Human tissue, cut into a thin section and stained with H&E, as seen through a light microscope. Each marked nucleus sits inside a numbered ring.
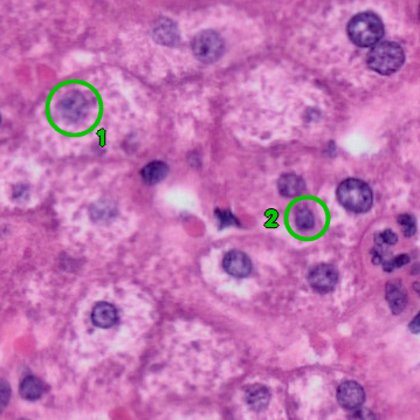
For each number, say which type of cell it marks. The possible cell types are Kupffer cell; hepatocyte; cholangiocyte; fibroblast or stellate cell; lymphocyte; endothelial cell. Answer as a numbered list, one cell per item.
1. hepatocyte
2. Kupffer cell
